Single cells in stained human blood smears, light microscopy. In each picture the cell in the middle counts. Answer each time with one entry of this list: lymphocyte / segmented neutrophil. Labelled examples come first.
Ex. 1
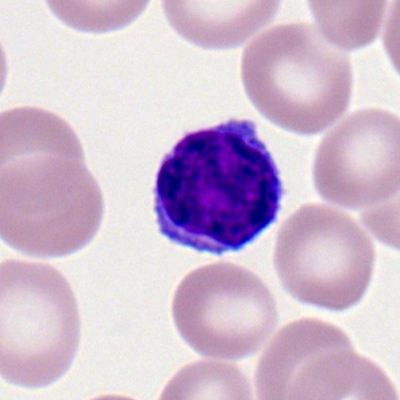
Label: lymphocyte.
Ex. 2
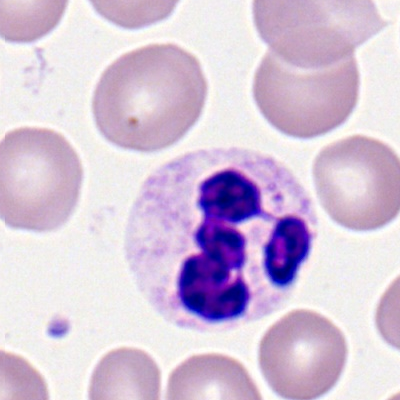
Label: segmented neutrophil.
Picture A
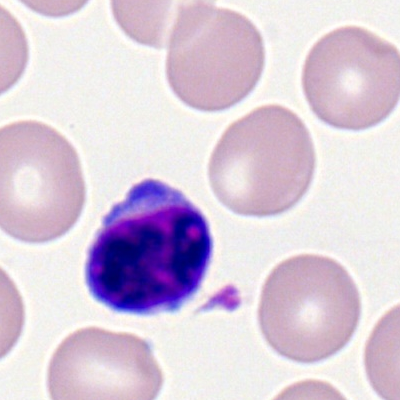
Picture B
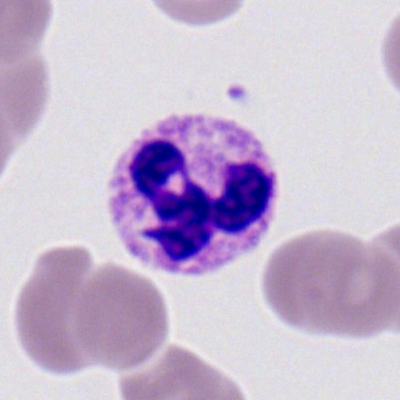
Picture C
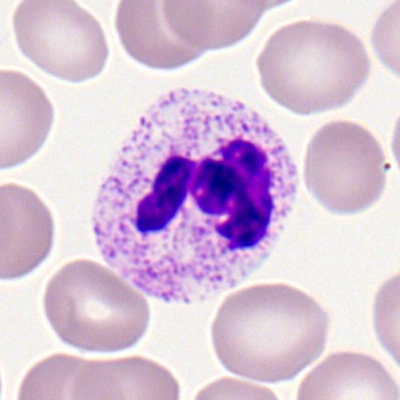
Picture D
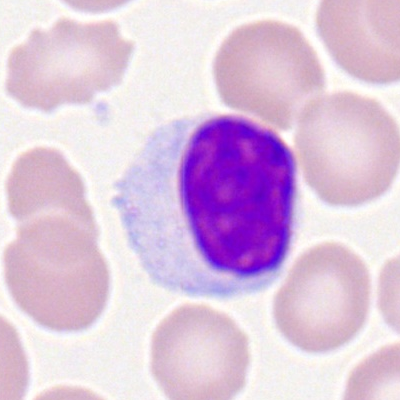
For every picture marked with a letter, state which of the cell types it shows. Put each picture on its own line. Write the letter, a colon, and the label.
A: lymphocyte.
B: segmented neutrophil.
C: segmented neutrophil.
D: lymphocyte.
